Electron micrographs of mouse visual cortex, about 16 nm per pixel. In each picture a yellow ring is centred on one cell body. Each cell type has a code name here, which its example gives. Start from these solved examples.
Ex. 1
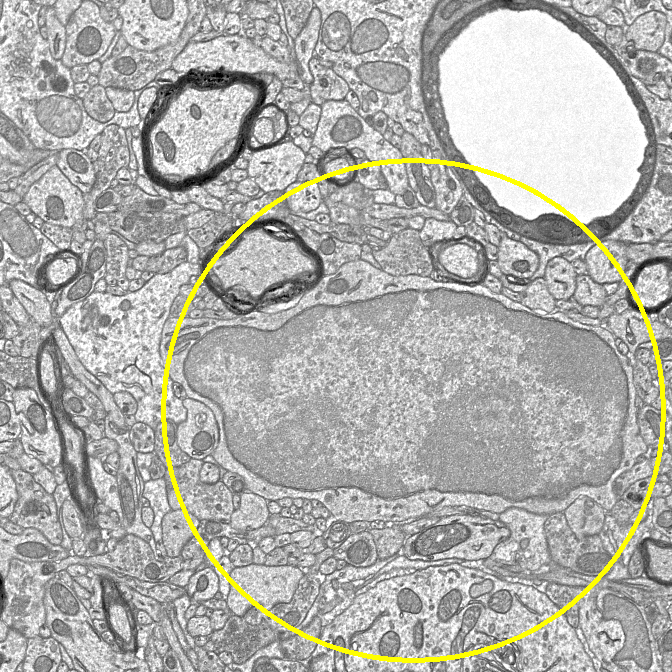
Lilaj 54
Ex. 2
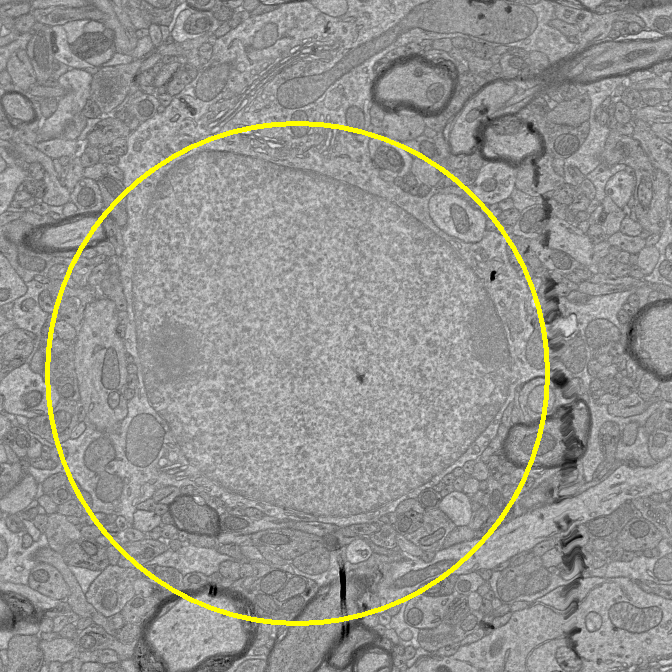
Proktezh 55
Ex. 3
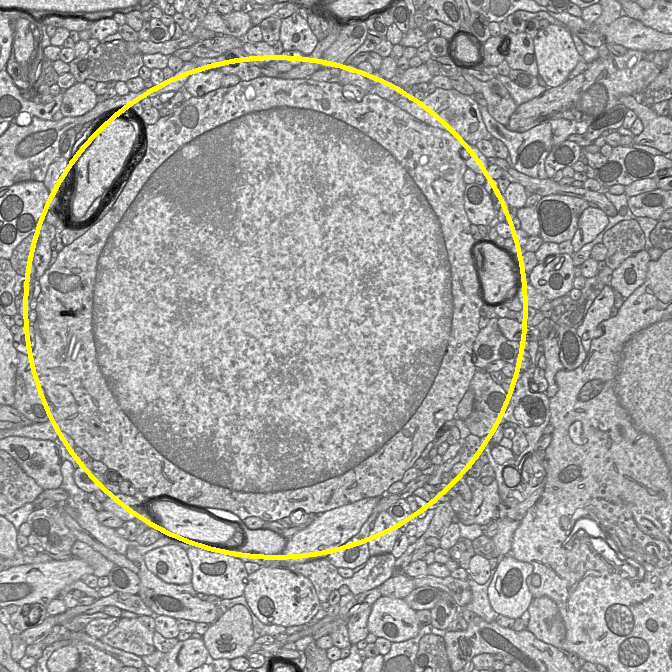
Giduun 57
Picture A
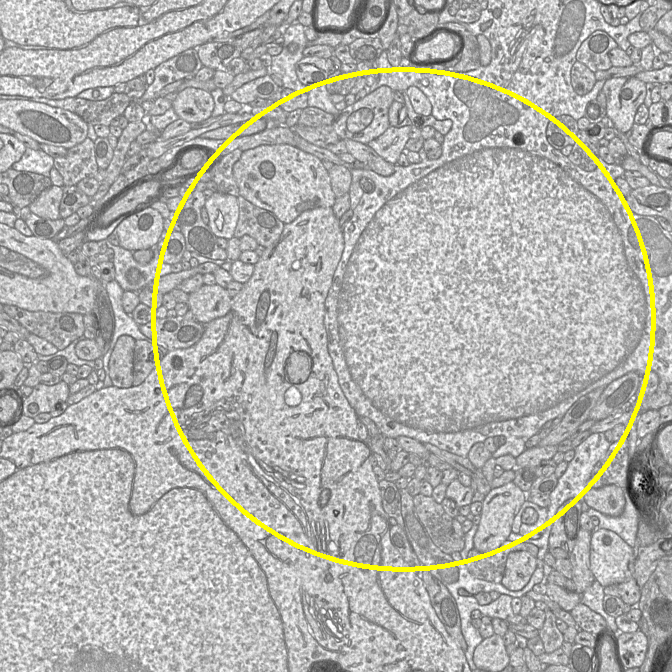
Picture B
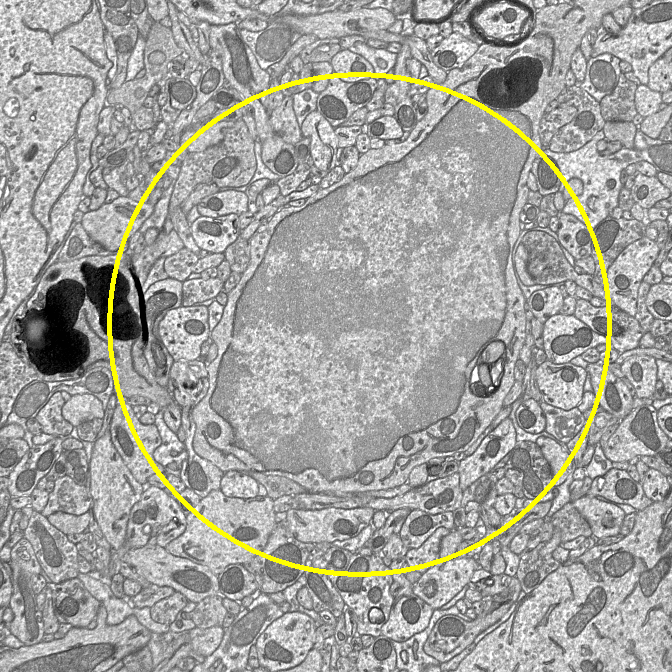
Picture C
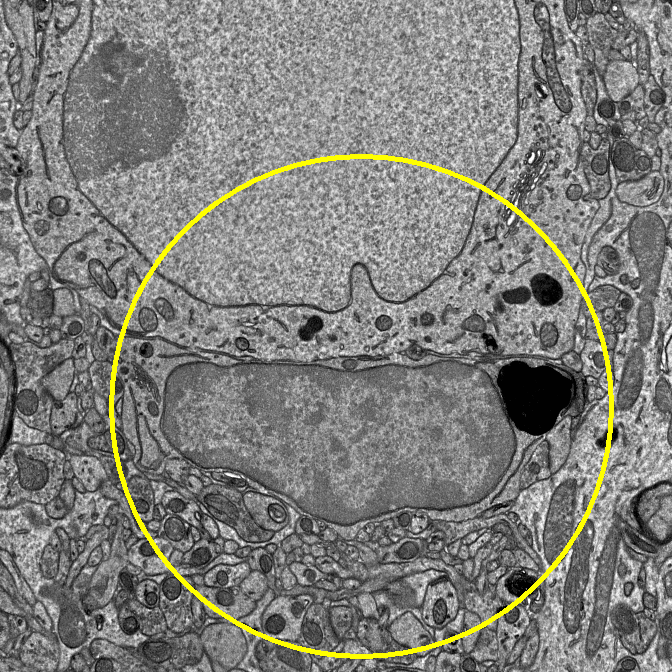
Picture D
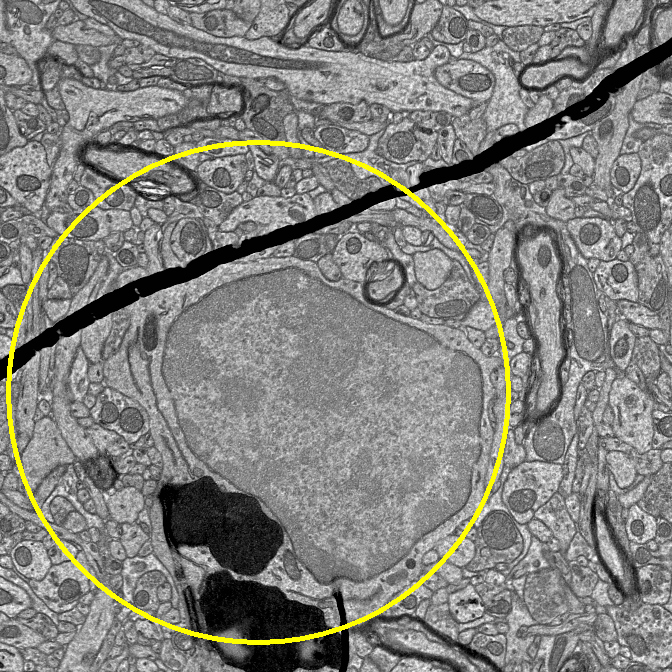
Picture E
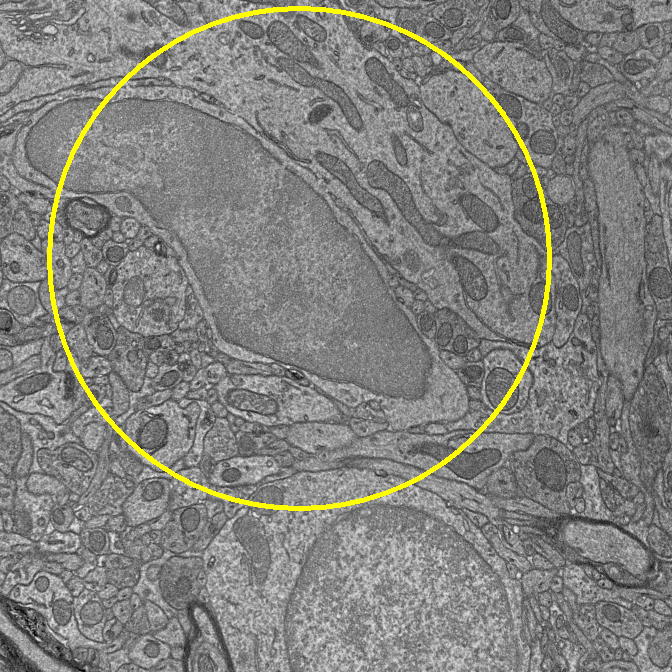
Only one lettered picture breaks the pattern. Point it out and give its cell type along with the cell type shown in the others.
A: Proktezh 55; all the others: Lilaj 54.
